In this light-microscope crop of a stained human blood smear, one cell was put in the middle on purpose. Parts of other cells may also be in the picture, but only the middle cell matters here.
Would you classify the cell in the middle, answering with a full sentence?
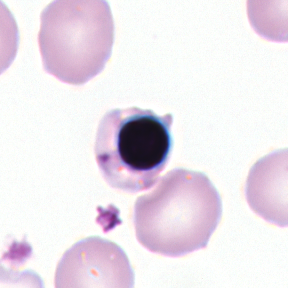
The middle of this crop holds an erythroblast.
